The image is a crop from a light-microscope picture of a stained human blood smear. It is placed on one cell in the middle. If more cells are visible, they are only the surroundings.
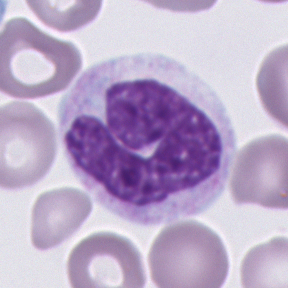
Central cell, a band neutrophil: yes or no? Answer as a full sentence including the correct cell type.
Yes, the cell sitting in the center is a band neutrophil.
